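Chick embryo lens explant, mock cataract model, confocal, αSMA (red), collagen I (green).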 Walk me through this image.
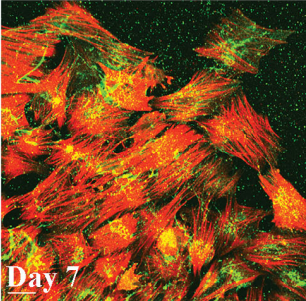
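A field of myofibroblasts that have migrated onto the culture substrate, seen as large, flattened, irregularly polygonal and spindle-shaped cells lying side by side and overlapping. Each cell is crossed by dense, parallel red stress fibers running along its long axis, with yellowish-green speckled material concentrated over the central part of many cells. Dark gaps of bare substrate appear between some cells at the edges of the sheet.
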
